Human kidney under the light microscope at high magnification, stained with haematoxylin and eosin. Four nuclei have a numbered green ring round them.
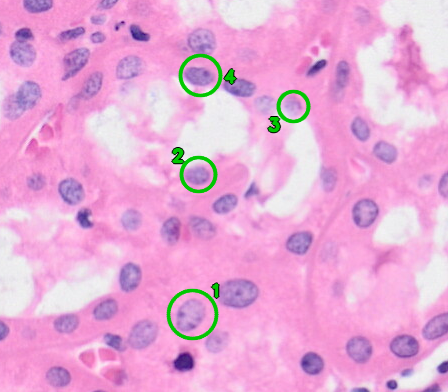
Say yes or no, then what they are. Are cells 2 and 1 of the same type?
No; whereas cell 2 is a loop of Henle or distal tubule cell, cell 1 is a proximal tubule cell.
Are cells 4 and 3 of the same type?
Yes, cell 4 is counted among the loop of Henle or distal tubule cells, as is cell 3.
